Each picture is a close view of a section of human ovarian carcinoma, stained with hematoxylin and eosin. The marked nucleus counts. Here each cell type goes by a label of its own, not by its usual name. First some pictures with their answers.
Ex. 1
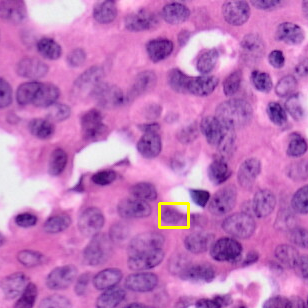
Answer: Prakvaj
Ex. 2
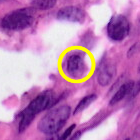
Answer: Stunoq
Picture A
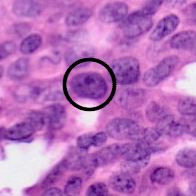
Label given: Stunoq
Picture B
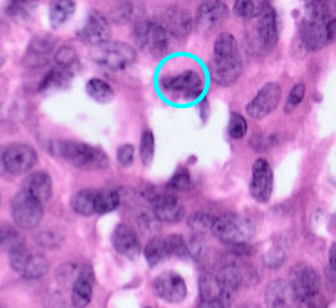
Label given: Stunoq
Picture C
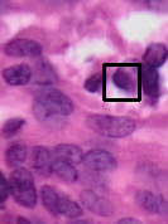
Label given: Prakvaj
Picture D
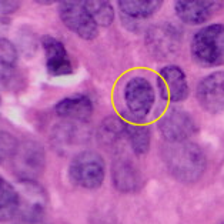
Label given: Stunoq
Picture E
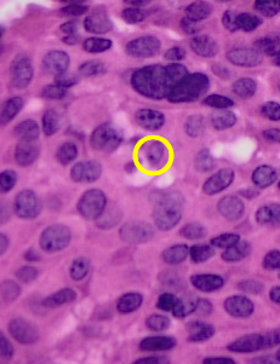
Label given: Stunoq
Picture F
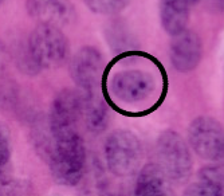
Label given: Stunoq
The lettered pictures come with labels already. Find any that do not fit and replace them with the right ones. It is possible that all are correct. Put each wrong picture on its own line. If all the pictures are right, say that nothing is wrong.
Wrong: A (Stunoq); correct: Prakvaj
